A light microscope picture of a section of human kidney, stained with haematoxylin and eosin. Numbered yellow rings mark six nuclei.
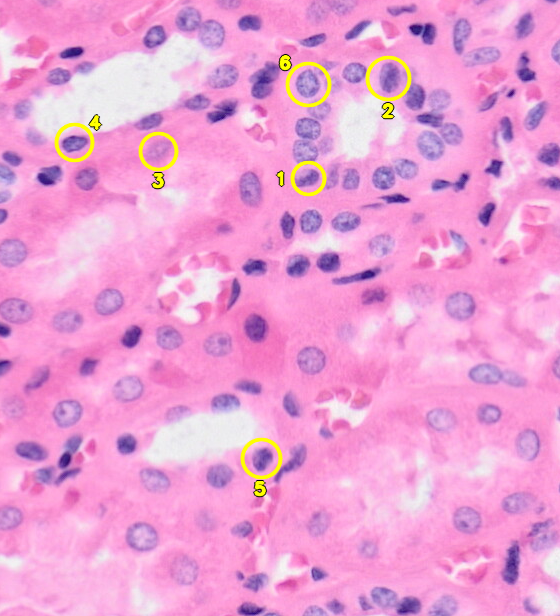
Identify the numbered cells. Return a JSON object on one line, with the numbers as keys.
{"1": "collecting duct cell", "2": "collecting duct cell", "3": "proximal tubule cell", "4": "loop of Henle or distal tubule cell", "5": "loop of Henle or distal tubule cell", "6": "collecting duct cell"}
